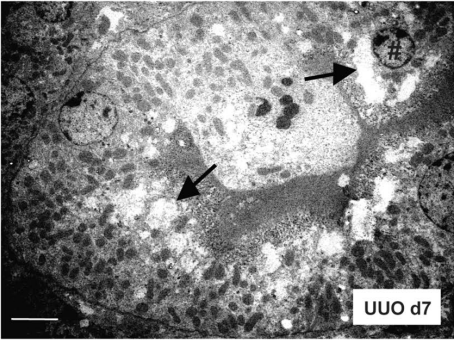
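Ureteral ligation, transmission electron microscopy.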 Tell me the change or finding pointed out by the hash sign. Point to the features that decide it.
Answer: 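Chromatin condensation. The hash sign lies on a round nucleus. The nucleus shows darker, clumped chromatin than the nuclei nearby.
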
